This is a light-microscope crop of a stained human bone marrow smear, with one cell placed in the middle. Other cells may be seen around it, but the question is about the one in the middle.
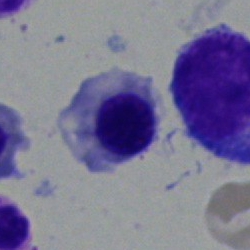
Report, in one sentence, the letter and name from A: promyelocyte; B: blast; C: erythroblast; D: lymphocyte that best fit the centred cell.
Located in the middle of the crop is an erythroblast, and option C is therefore correct.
